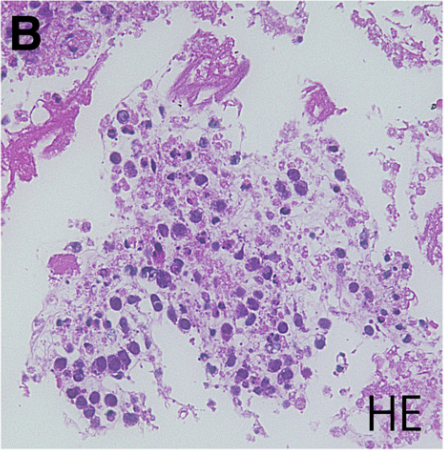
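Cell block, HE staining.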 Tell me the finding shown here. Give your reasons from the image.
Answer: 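Most cells consist mainly of a large dark purple nucleus. Only a thin rim of pale cytoplasm surrounds the nuclei. Nuclei vary in size and shape.
Conclusion: high nuclear/cytoplasmic ratio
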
